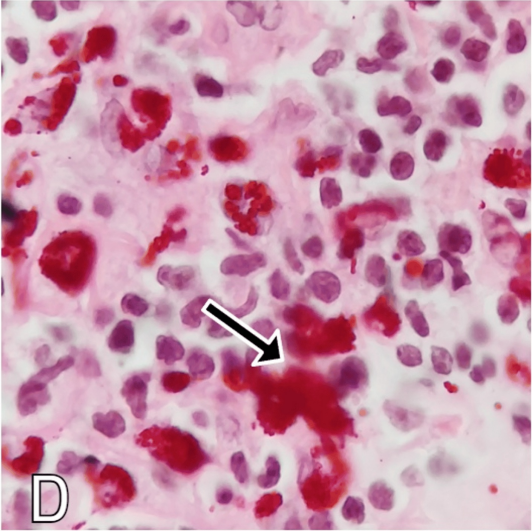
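Most cells are small with round, dark purple nuclei and scant cytoplasm, typical lymphocytes, while interspersed larger cells have paler oval nuclei and more pink cytoplasm, consistent with histiocytes. Scattered throughout are bright red granular clumps of pigment, some small and dotted, others forming large irregular aggregates, several seeming to fill or surround the cytoplasm of the larger cells. The pale pink background between the cells is loose stroma, with little normal collagen architecture left in this field.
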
